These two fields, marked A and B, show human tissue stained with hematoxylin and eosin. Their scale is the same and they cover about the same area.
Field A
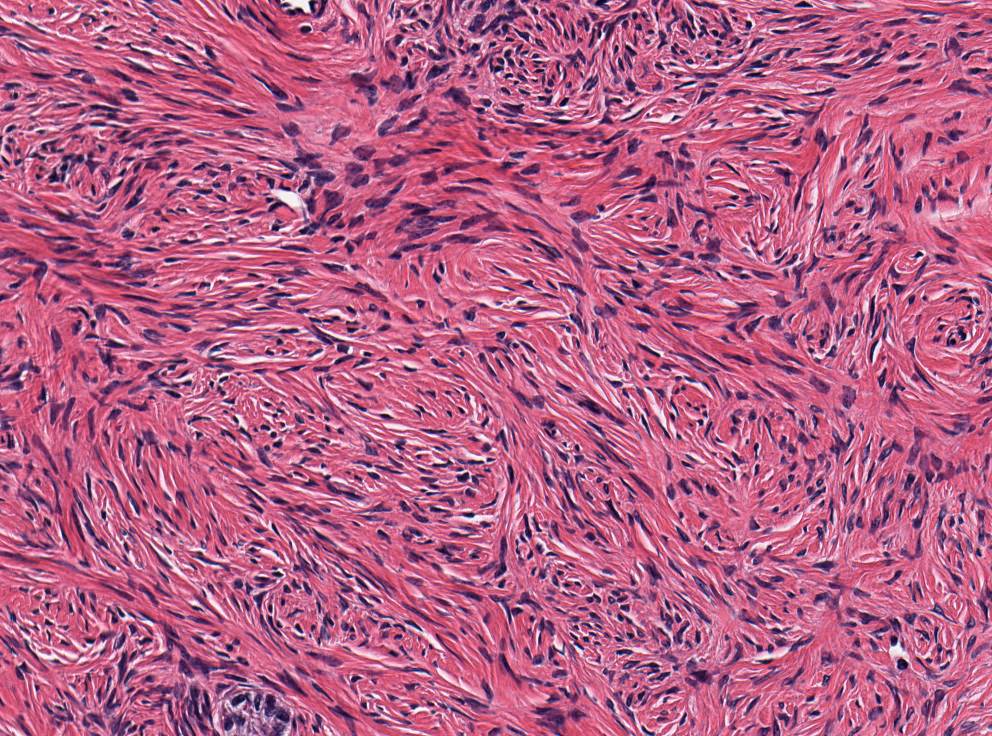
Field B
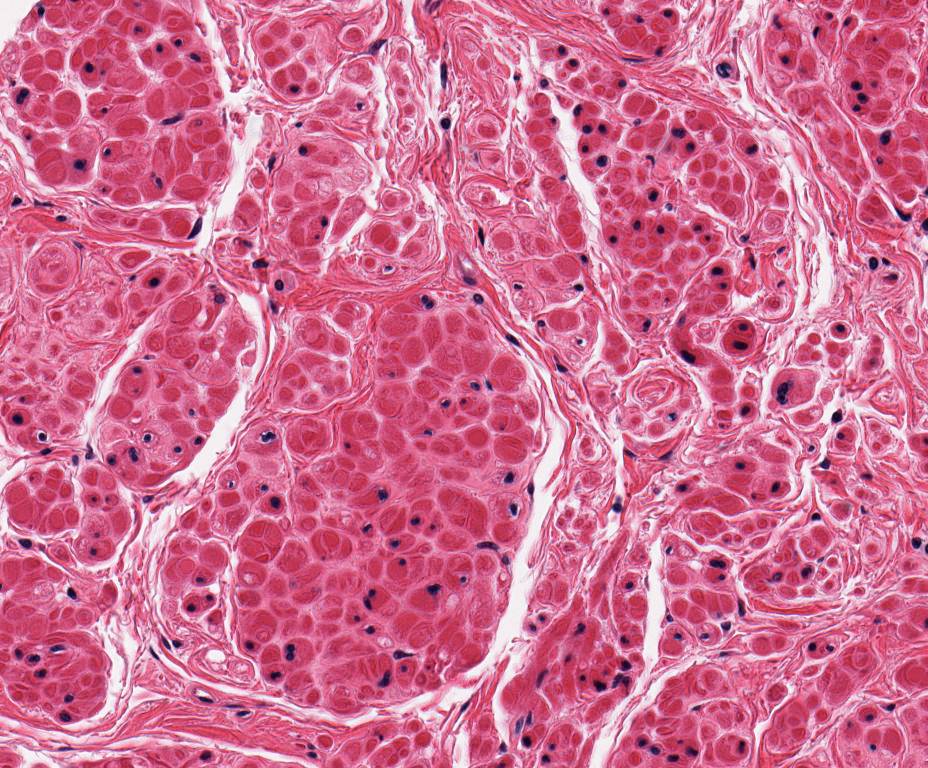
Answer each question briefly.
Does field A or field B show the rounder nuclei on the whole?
B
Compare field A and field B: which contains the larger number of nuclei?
A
